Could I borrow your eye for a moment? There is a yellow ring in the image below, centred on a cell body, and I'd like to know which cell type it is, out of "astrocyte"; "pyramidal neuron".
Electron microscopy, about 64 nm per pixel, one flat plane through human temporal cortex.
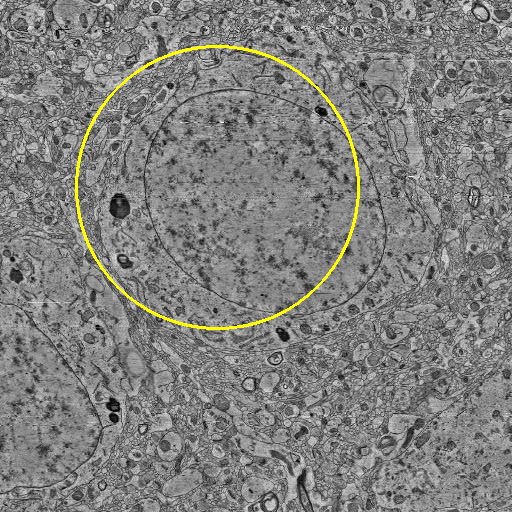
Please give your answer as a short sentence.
The cell body at the centre is that of a pyramidal neuron.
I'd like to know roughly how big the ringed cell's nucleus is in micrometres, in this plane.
The ringed cell's nucleus measures approximately 17 by 14 micrometres in this plane.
